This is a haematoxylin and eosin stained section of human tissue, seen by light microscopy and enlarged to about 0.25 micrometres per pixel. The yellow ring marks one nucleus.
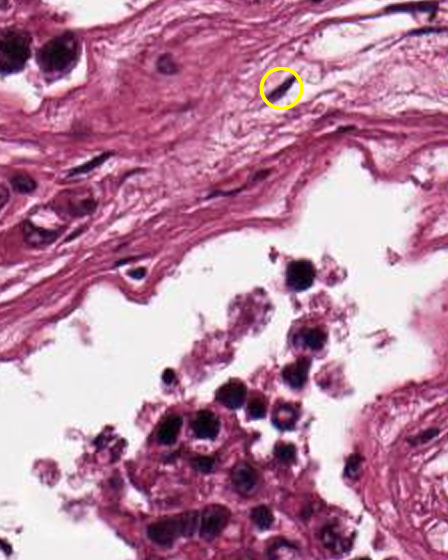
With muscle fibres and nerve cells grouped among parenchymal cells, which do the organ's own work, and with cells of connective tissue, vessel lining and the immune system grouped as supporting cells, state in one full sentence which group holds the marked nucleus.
The marked nucleus is found in a supporting cell.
